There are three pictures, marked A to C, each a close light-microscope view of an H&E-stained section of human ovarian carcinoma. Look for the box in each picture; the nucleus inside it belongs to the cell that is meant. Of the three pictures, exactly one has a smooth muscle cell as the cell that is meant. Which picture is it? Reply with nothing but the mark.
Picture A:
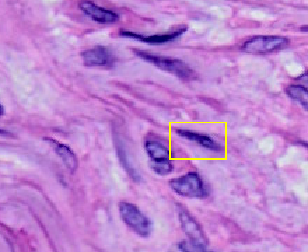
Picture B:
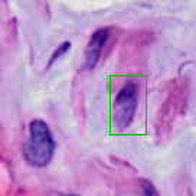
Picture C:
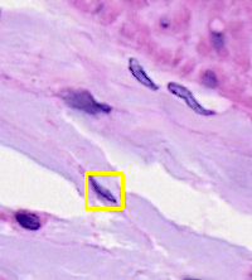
B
